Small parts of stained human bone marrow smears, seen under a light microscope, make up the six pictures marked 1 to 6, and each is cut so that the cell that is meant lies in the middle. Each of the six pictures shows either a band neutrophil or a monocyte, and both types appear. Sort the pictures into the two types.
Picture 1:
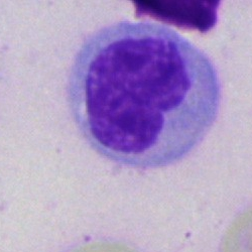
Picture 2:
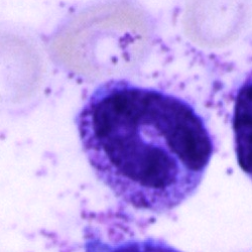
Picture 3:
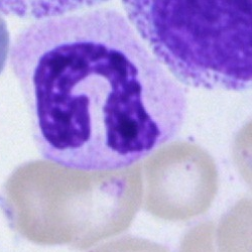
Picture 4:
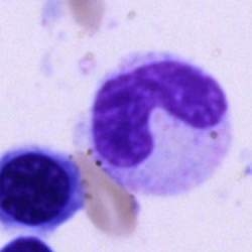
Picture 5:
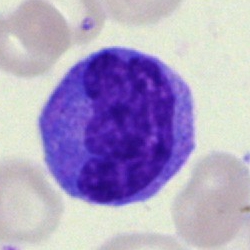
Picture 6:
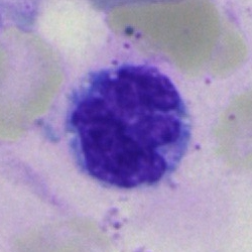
1: monocyte
2: band neutrophil
3: band neutrophil
4: band neutrophil
5: monocyte
6: monocyte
